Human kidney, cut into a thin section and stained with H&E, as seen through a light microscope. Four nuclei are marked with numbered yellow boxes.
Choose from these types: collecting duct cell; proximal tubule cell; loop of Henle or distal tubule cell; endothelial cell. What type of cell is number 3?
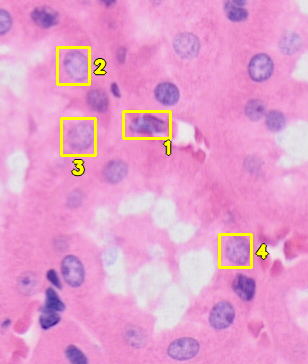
proximal tubule cell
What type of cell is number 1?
endothelial cell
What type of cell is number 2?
proximal tubule cell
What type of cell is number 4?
proximal tubule cell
